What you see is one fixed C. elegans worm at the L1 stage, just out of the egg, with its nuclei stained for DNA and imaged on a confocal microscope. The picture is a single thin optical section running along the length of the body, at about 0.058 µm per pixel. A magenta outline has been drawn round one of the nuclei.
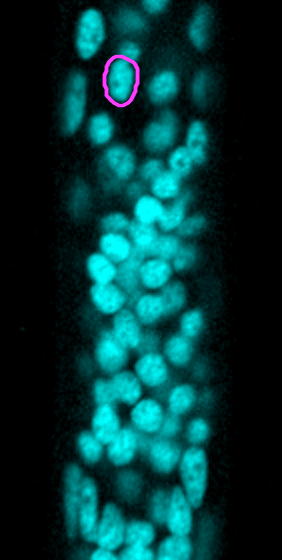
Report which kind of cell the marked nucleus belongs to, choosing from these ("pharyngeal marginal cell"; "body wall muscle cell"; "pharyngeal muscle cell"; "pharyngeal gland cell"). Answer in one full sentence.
This nucleus is from a pharyngeal marginal cell.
